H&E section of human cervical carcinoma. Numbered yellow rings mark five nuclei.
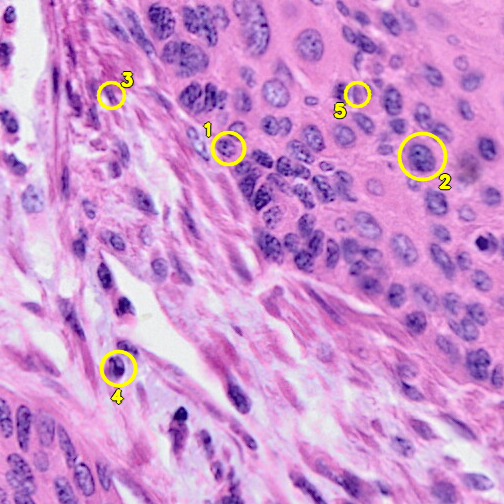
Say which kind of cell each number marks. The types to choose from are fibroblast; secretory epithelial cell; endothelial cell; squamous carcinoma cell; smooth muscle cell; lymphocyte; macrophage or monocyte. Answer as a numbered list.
1. squamous carcinoma cell
2. squamous carcinoma cell
3. fibroblast
4. lymphocyte
5. squamous carcinoma cell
